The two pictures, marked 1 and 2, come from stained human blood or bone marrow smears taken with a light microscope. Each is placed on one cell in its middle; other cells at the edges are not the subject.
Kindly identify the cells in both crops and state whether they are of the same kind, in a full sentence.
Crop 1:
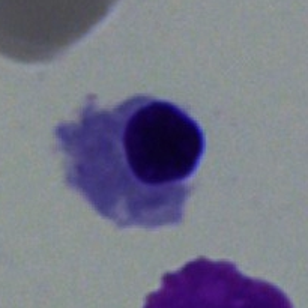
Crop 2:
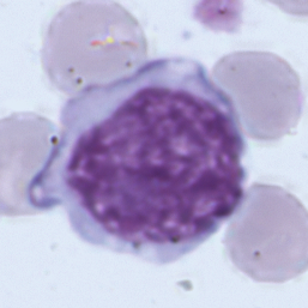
No, crop 1 contains an erythroblast, while crop 2 contains a plasma cell.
